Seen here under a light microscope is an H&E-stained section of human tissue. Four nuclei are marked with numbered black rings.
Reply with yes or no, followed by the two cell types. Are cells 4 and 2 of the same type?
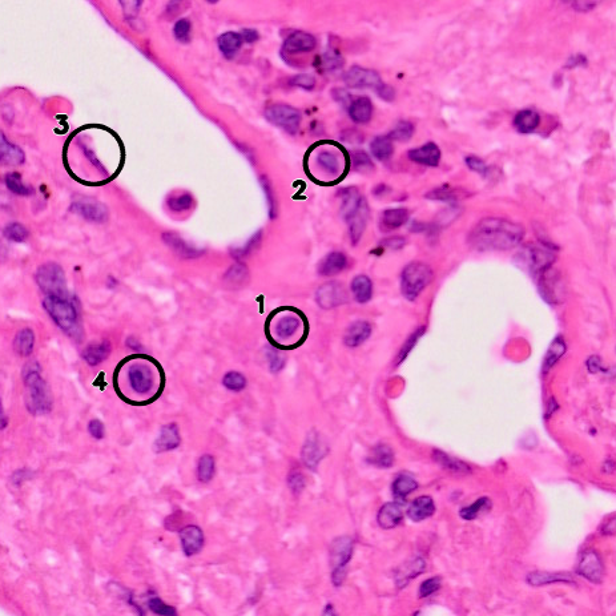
Yes, both of the numbered cells concerned, 4 and 2, are lymphocytes.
